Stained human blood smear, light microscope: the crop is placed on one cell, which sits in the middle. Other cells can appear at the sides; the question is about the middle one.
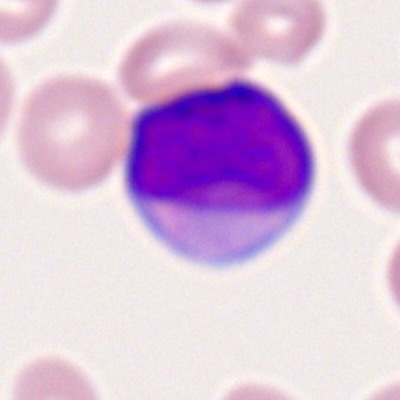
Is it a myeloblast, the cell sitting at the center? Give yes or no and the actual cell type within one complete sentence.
Yes, the centred cell is categorised as a myeloblast.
